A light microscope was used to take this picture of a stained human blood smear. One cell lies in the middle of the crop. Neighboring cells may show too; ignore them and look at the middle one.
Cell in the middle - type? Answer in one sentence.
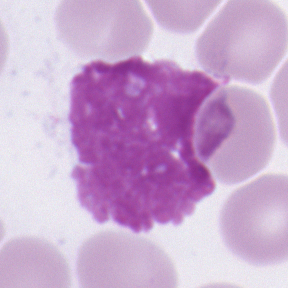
The center cell of this crop is a smudge cell.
